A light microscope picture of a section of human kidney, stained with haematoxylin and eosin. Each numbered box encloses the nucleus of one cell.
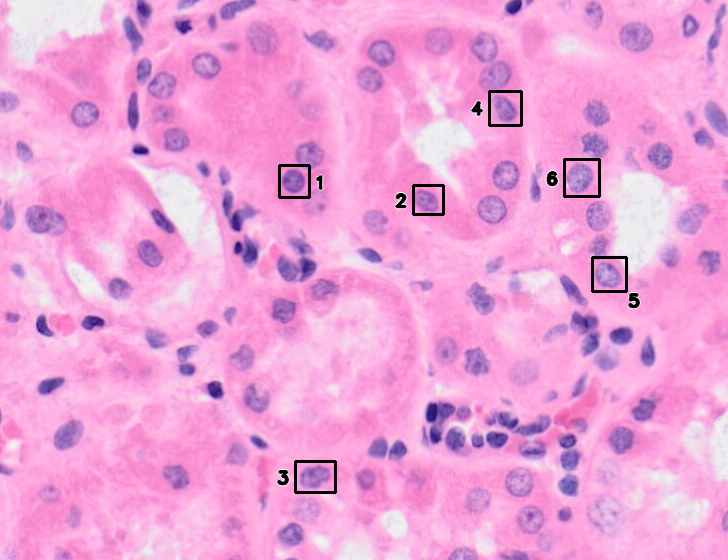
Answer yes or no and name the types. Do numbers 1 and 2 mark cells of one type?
Yes, cells 1 and 2 are, both of them, proximal tubule cells.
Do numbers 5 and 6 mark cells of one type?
Yes, both of the cells numbered 5 and 6 are loop of Henle or distal tubule cells.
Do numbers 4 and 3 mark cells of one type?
Yes, by cell type, cells 4 and 3 are both proximal tubule cells.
